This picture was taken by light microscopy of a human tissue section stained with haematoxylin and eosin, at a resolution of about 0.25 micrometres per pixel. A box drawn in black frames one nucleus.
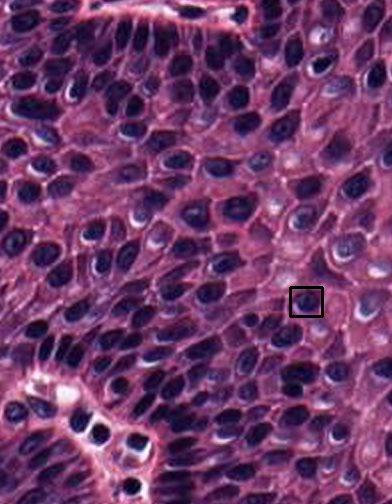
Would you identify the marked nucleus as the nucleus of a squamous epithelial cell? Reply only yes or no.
yes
